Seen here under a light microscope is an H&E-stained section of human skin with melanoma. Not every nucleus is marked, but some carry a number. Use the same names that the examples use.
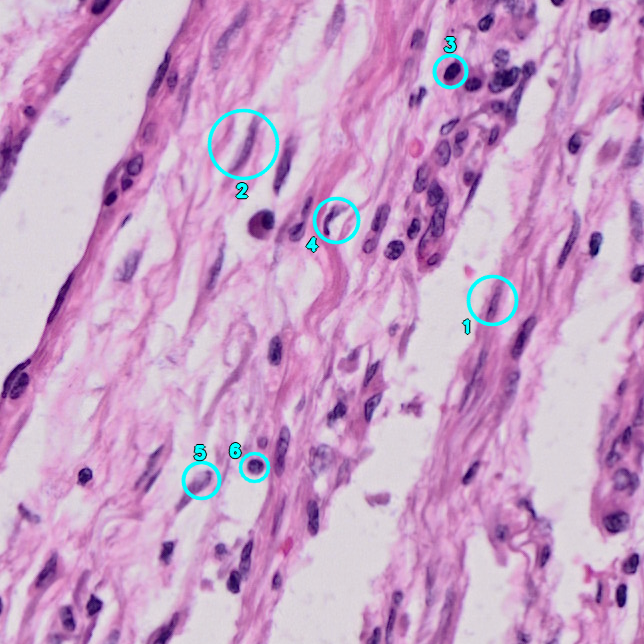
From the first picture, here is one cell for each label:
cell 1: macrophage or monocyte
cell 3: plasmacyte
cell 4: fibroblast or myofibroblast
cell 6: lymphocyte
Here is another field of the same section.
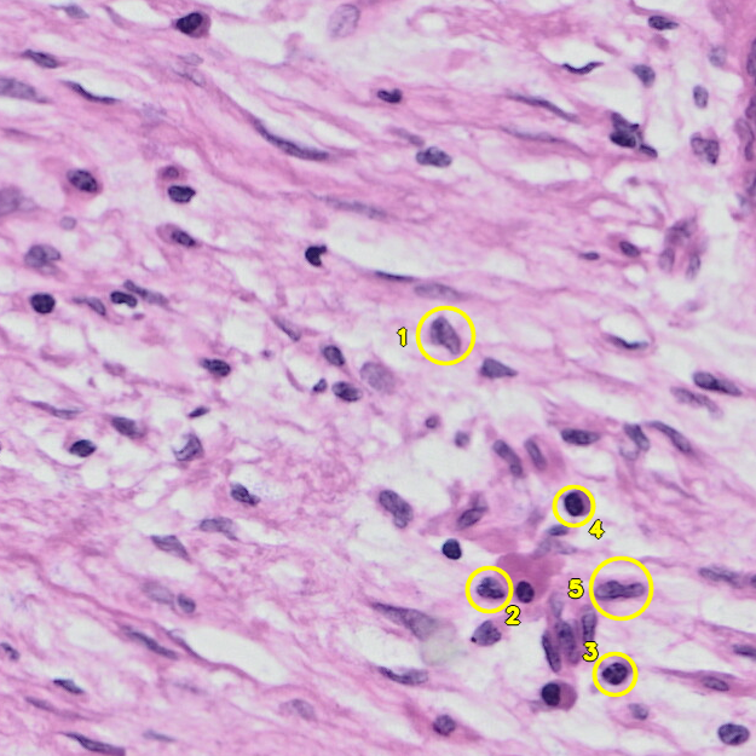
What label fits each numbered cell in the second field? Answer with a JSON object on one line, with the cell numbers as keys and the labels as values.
{"1": "macrophage or monocyte", "2": "lymphocyte", "3": "plasmacyte", "4": "plasmacyte", "5": "macrophage or monocyte"}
